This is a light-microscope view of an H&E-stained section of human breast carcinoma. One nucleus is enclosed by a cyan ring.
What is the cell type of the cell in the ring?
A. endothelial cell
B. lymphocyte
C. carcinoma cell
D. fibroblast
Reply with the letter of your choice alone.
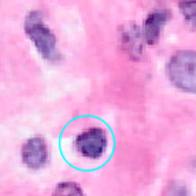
B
